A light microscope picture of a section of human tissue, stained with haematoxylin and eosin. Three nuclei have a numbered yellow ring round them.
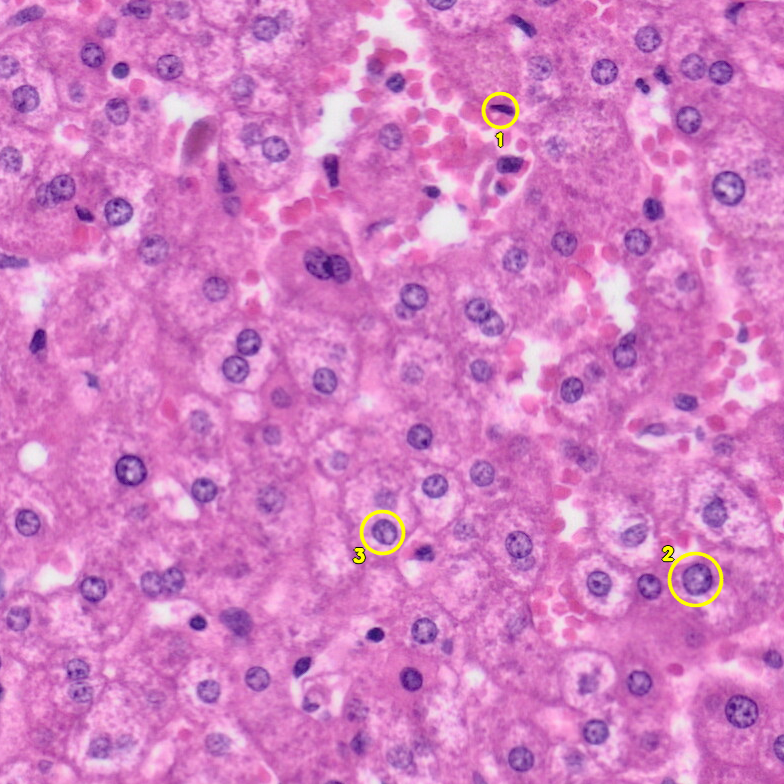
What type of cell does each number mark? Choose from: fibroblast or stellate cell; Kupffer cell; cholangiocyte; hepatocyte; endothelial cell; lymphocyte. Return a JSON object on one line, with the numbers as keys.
{"1": "fibroblast or stellate cell", "2": "hepatocyte", "3": "hepatocyte"}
